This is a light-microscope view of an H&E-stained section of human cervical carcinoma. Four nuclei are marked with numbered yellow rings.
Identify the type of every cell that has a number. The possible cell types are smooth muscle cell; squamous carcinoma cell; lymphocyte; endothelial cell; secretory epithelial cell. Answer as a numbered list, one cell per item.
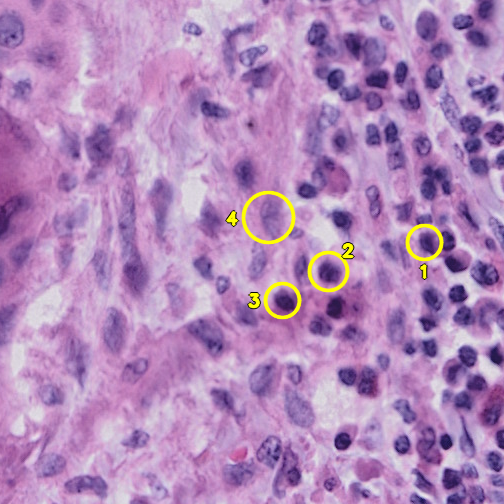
1. lymphocyte
2. lymphocyte
3. lymphocyte
4. endothelial cell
